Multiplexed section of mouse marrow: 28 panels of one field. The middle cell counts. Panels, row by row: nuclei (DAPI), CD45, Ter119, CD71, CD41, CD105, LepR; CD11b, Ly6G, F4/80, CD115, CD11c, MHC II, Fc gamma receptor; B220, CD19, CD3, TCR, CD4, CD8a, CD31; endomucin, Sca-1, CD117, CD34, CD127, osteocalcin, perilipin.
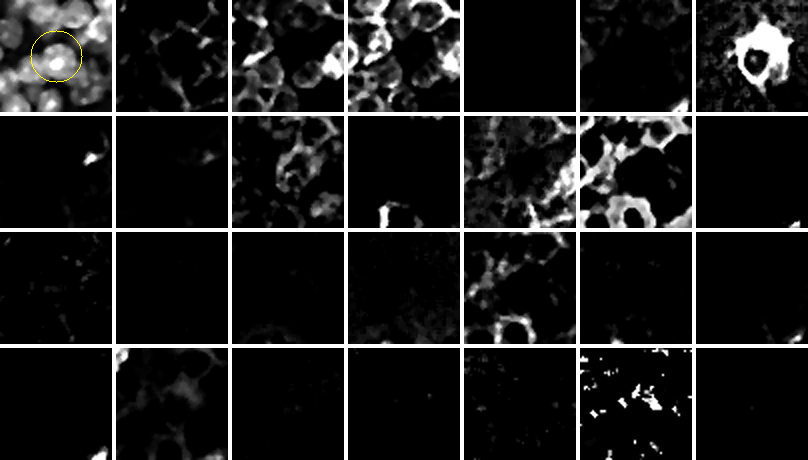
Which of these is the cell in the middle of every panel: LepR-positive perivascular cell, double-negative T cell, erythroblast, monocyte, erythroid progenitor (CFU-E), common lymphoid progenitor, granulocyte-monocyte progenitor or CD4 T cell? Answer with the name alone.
LepR-positive perivascular cell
